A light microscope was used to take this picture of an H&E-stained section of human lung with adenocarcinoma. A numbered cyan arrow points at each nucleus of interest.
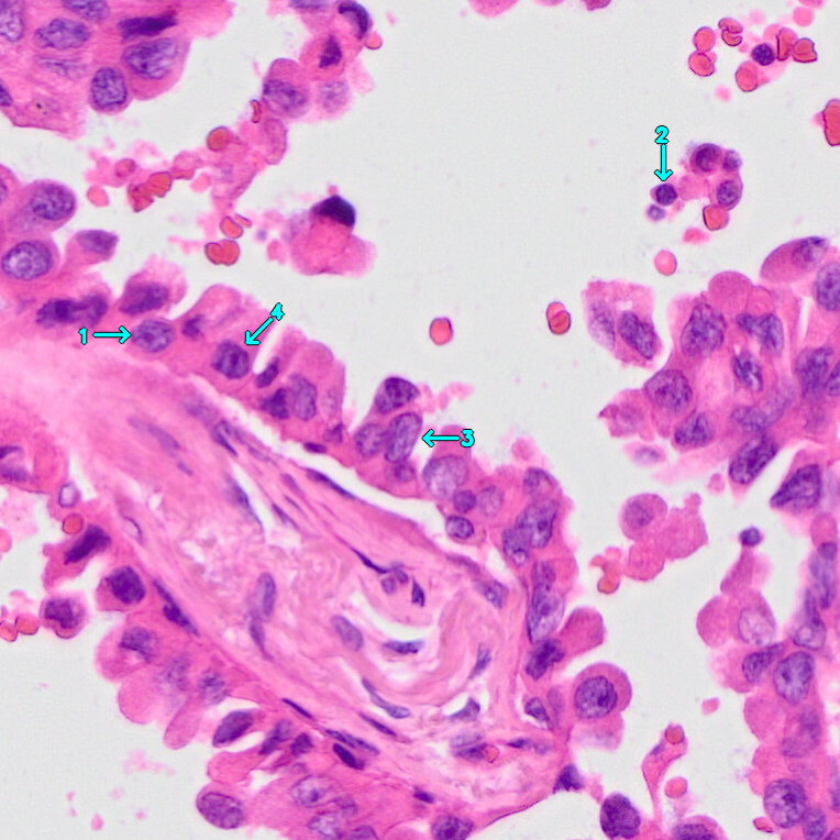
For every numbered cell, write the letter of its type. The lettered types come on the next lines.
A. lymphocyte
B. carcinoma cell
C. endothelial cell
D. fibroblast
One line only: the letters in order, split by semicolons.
B; A; B; B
